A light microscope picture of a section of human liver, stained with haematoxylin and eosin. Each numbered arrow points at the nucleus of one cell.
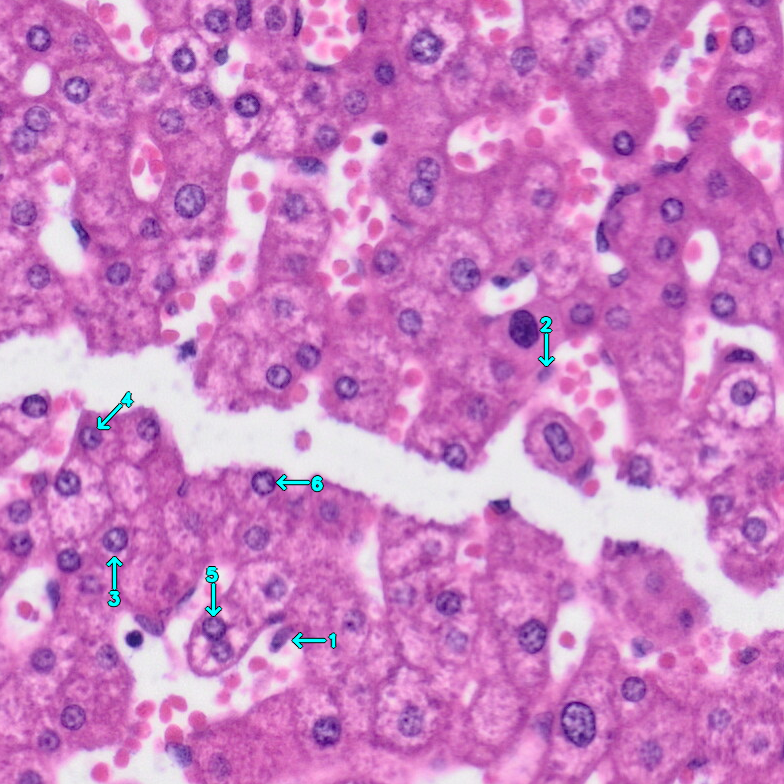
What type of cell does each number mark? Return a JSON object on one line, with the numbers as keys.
{"1": "Kupffer cell", "2": "Kupffer cell", "3": "hepatocyte", "4": "hepatocyte", "5": "hepatocyte", "6": "hepatocyte"}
